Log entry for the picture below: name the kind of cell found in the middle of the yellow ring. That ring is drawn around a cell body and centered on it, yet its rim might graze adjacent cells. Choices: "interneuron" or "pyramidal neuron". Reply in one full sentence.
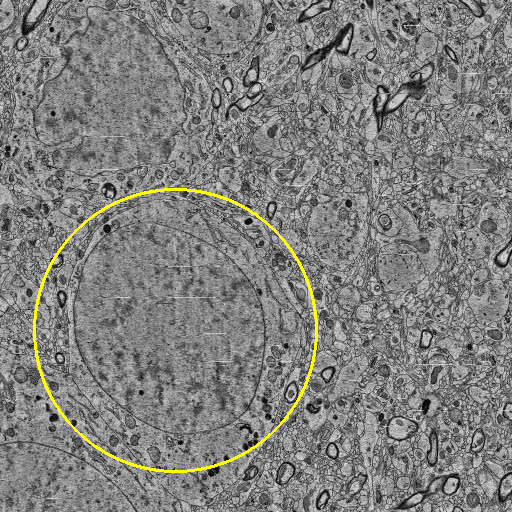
The cell in the middle of the yellow ring in this picture is a pyramidal neuron.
